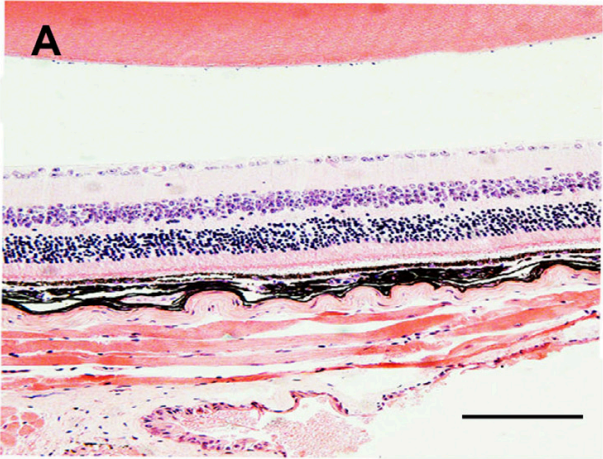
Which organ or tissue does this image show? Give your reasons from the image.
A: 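Several parallel bands of nuclei separated by pale pink fibrous layers. A densely packed layer of small dark round nuclei lies just above a black pigmented band. So: retina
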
